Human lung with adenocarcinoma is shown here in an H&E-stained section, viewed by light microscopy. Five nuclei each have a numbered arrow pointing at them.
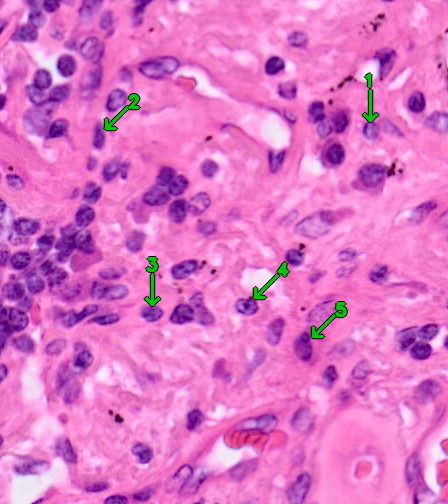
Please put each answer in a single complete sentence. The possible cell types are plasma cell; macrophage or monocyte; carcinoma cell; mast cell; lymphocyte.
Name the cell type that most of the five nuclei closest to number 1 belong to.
Plasma cells make up most of the five nuclei closest to number 1.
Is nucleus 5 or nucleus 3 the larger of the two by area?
Nucleus 5 is the larger one, covering about 1.5 times the area of nucleus 3.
